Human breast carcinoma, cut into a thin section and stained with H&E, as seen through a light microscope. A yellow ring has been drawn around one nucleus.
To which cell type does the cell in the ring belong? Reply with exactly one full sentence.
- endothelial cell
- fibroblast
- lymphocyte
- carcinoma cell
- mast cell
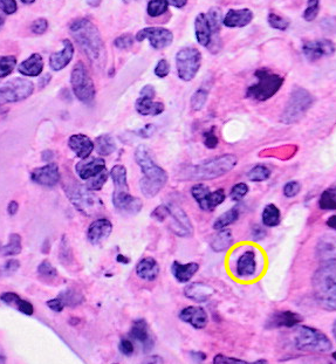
Among the cells in this section, the cell in the ring is a lymphocyte.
